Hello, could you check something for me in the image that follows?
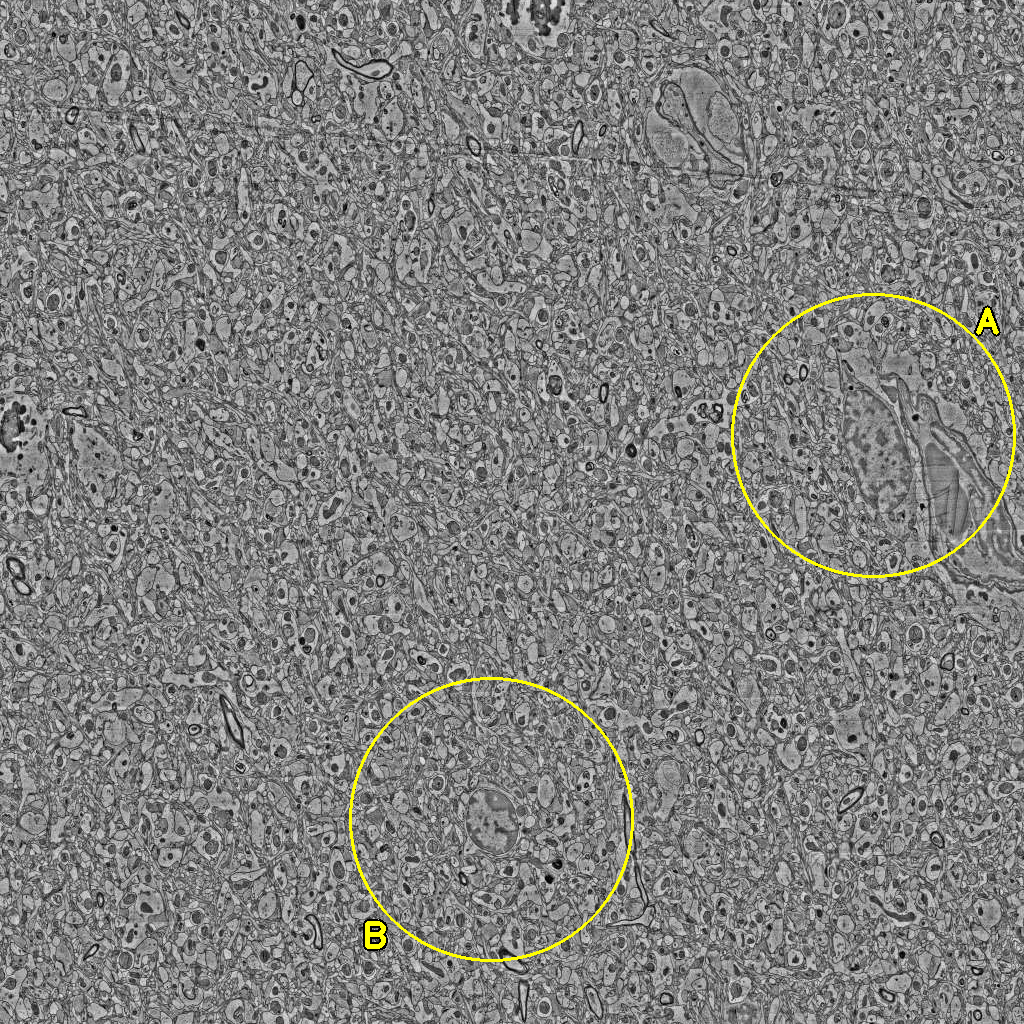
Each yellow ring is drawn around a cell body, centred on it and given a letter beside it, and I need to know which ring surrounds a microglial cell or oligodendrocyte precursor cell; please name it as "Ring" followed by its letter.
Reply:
Ring B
